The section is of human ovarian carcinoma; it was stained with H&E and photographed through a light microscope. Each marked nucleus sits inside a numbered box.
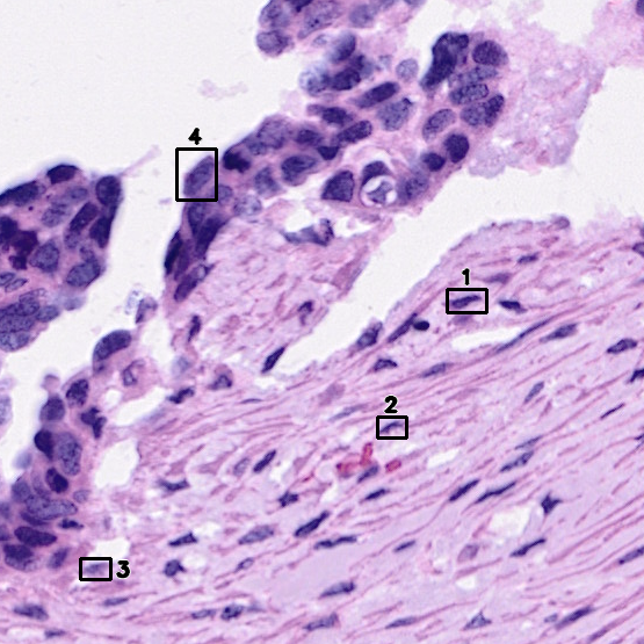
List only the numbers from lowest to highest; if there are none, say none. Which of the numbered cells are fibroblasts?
1, 2, 3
